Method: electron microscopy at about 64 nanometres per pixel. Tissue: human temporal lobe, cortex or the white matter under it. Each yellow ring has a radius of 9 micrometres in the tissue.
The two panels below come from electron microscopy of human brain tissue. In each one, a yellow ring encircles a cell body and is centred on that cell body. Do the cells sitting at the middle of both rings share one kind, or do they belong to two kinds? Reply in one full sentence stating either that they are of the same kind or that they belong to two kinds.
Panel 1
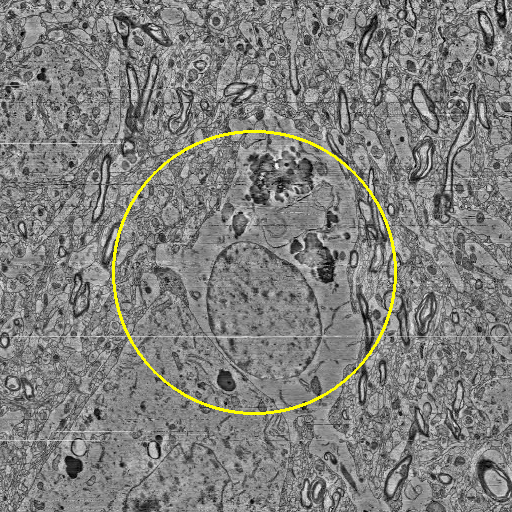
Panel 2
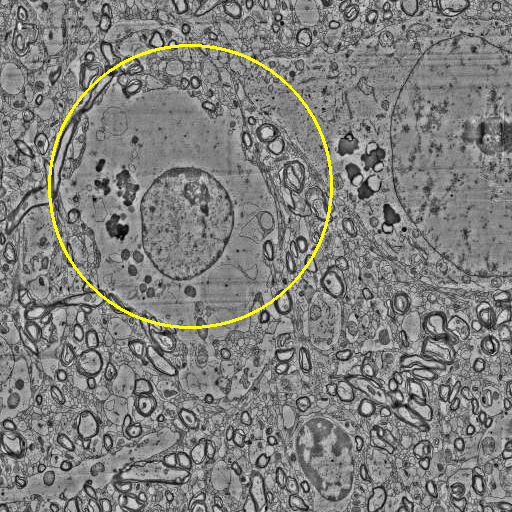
The cells at the centres of the two rings are of the same kind.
